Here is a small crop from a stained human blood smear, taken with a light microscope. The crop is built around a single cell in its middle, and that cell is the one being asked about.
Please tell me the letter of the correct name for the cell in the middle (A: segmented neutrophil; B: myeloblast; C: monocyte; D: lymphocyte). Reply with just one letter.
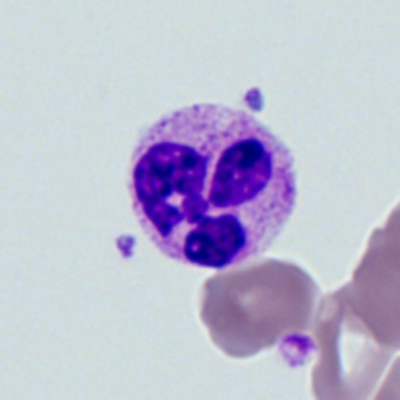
A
